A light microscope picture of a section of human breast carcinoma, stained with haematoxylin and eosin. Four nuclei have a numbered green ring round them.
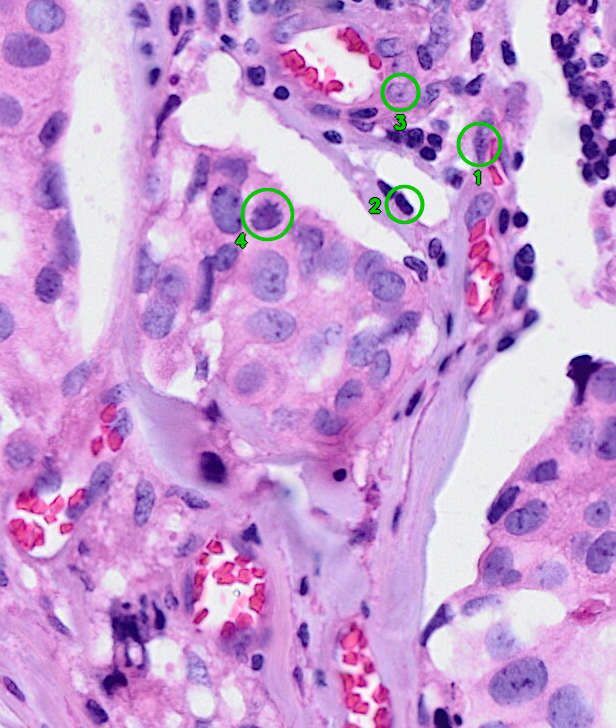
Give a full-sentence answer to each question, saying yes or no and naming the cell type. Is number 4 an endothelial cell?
No, cell 4 is not an endothelial cell at all but a carcinoma cell.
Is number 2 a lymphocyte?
Yes, the cell numbered 2 in this tissue is a lymphocyte.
